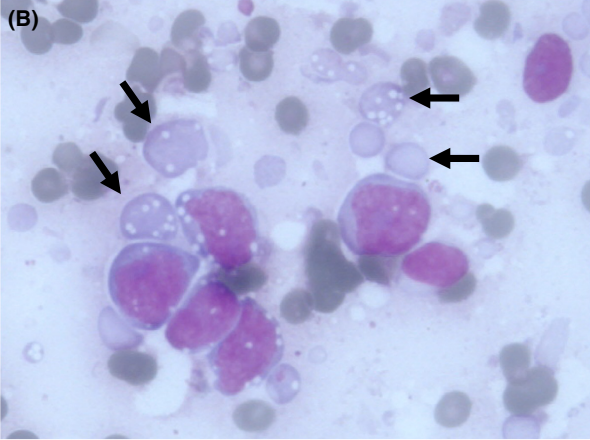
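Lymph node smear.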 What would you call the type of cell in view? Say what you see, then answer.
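Large blast-like cells. Several large cells with big magenta-purple nuclei and a thin rim of pale blue cytoplasm. These cells are much larger than the surrounding dark small round bodies.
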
